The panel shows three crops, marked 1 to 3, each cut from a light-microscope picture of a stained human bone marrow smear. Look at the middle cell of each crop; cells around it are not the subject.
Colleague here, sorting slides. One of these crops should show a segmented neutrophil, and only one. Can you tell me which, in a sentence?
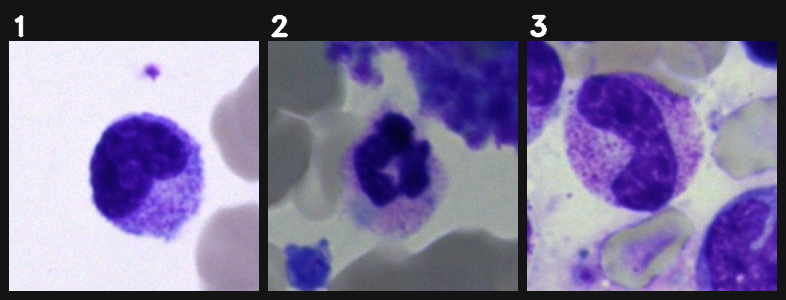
Within this set, crop 2 is the one with a segmented neutrophil at its center.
